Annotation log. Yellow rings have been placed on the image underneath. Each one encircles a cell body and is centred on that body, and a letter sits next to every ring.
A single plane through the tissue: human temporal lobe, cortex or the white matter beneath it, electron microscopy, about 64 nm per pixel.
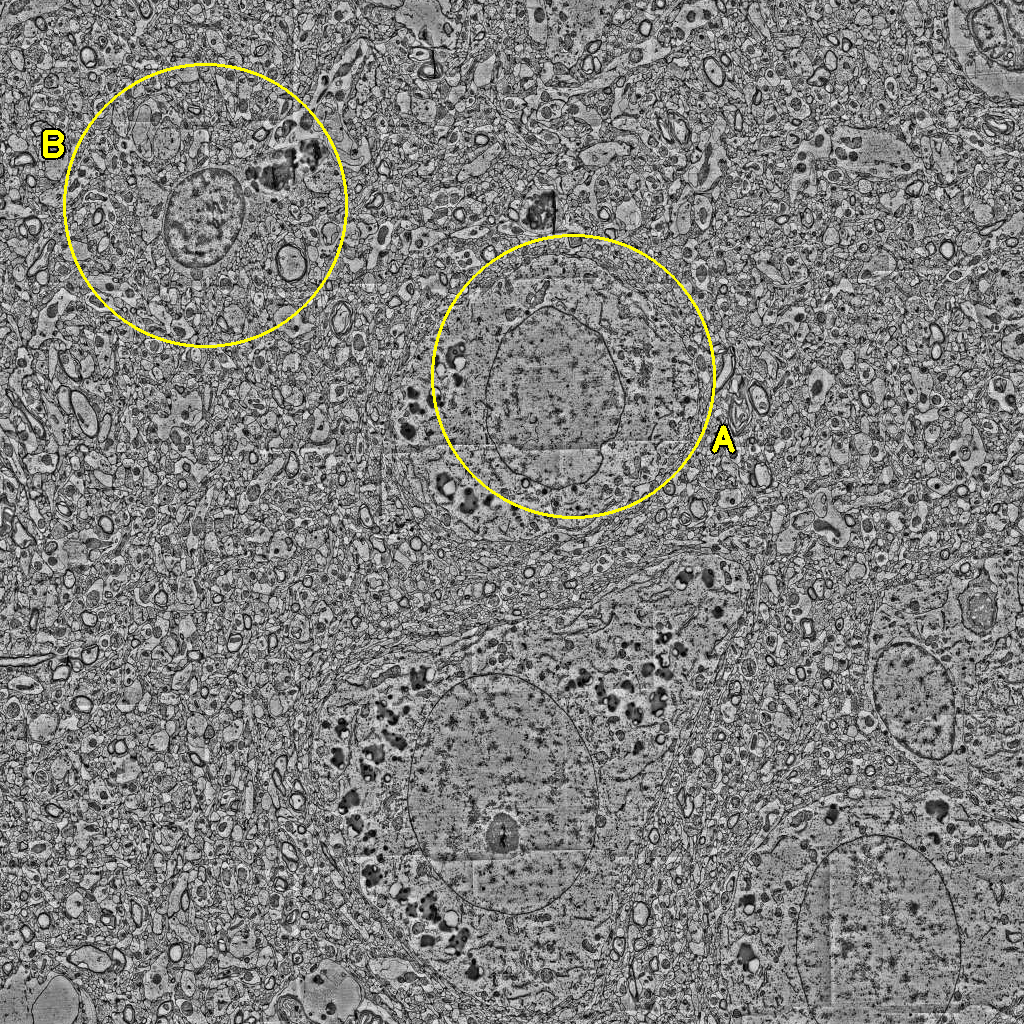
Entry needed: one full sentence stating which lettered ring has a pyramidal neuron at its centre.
The cell asked for sits at the centre of Ring A in the picture.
